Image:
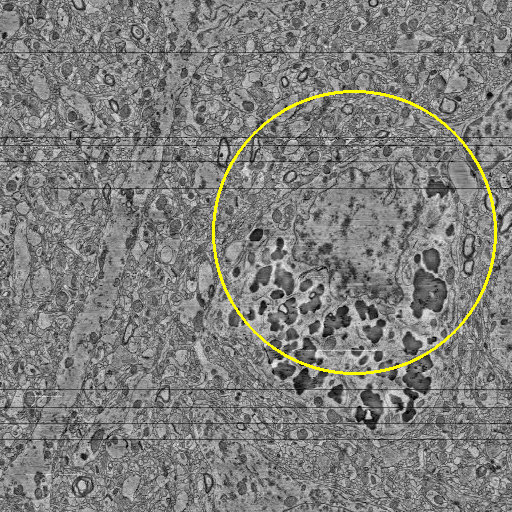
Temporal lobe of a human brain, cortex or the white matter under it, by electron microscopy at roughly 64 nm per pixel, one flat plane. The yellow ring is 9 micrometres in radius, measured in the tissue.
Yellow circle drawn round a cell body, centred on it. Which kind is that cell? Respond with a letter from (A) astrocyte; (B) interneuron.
B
